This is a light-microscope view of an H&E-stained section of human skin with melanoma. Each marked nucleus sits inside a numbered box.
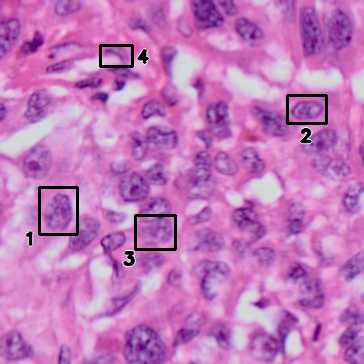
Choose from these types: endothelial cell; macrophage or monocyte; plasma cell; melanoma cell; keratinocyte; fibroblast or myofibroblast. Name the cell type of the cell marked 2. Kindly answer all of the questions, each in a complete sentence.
The correct label for cell 2 is a melanoma cell.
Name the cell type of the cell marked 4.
Corresponding to an endothelial cell is the cell labelled 4.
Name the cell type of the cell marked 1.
The correct label for cell 1 is a melanoma cell.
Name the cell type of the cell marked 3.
The cell referenced by the number 3 is a melanoma cell in this field.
